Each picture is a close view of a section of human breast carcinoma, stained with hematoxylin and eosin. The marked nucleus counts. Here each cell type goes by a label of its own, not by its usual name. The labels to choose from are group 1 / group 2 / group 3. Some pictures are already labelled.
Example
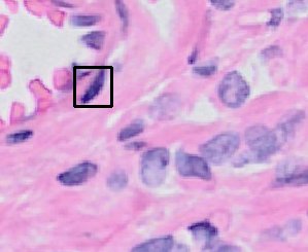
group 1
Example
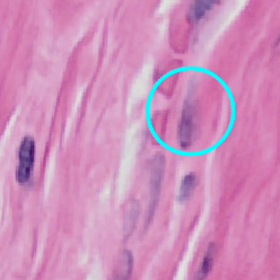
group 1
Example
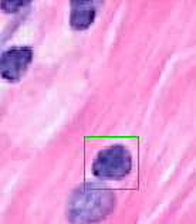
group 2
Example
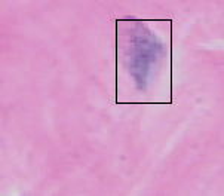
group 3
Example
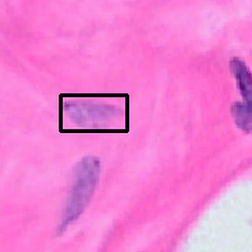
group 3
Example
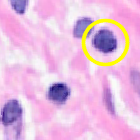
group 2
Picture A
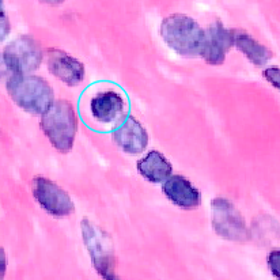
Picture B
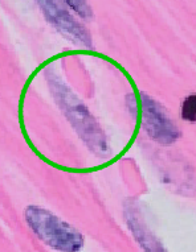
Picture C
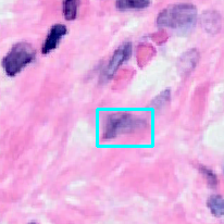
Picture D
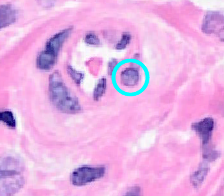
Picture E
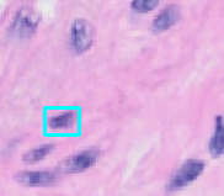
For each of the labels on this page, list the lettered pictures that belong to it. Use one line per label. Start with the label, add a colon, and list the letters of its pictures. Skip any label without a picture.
group 1: B, C, D, E
group 2: A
